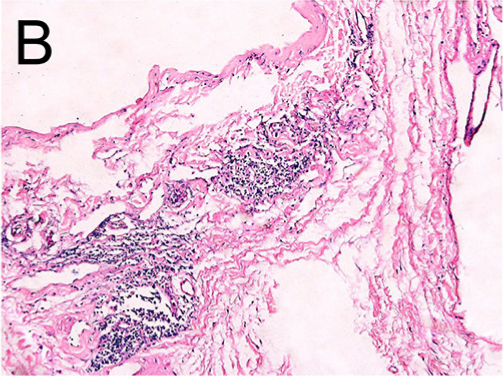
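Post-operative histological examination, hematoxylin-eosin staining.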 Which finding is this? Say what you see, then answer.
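Lymphocyte infiltration. Dense clusters of small, dark, round nuclei lie within the pink stroma. The clustered cells have scant cytoplasm.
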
